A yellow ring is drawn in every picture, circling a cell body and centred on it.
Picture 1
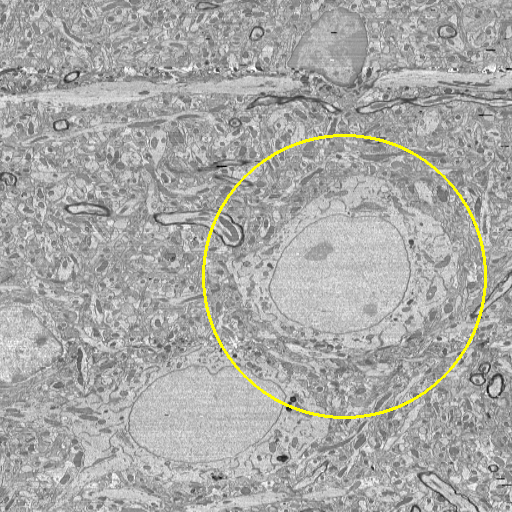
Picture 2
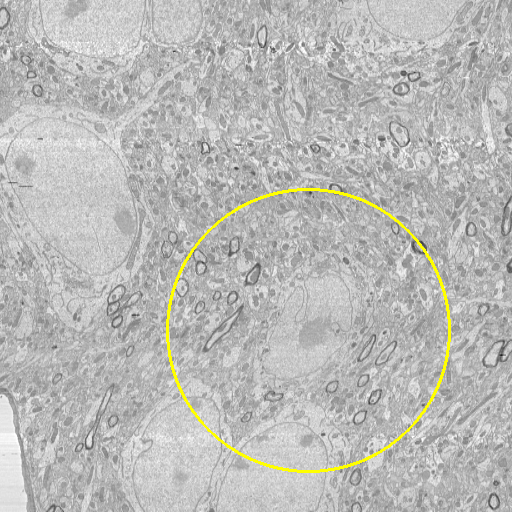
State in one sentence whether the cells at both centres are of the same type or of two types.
The cells at the two ring centres, one per picture, are of two types.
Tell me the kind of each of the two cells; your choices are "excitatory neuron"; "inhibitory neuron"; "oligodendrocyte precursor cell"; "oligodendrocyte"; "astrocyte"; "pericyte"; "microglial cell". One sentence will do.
The ringed cell is an excitatory neuron in the first picture and an inhibitory neuron in the second picture.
